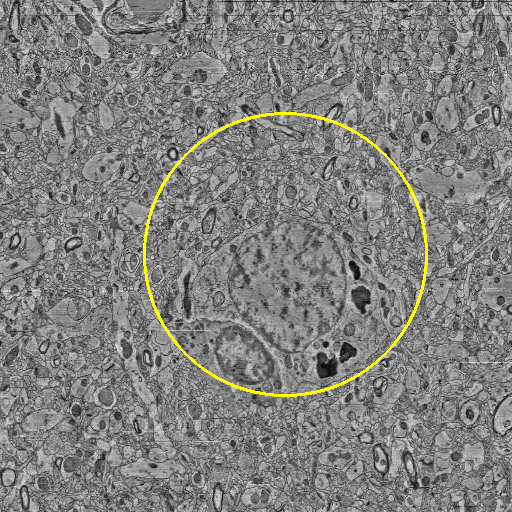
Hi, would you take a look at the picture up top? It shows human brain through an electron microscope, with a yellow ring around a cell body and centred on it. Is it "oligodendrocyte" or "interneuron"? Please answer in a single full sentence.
The best fit for the cell in the middle of the ring is an interneuron, I reckon.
